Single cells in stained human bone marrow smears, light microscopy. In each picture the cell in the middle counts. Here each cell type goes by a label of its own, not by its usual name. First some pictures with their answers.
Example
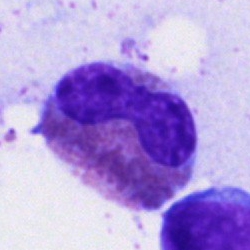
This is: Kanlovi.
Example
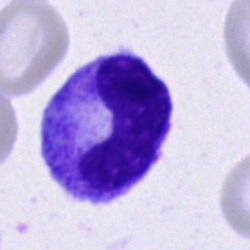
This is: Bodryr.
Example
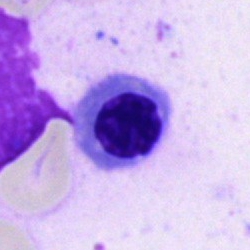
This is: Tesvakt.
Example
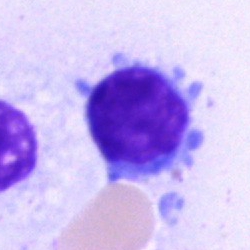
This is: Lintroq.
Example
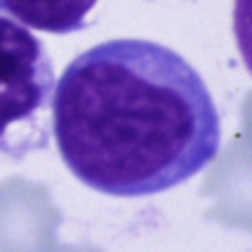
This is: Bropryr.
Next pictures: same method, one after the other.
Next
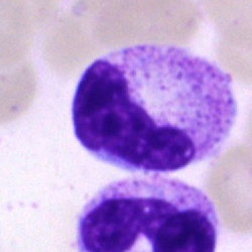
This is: Bodryr.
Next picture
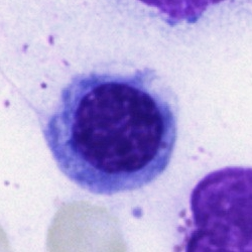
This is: Tesvakt.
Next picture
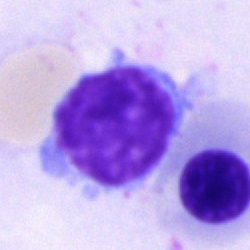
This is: Lintroq.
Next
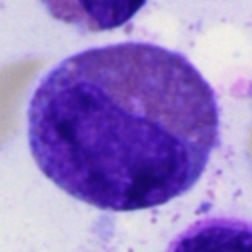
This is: Kanlovi.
